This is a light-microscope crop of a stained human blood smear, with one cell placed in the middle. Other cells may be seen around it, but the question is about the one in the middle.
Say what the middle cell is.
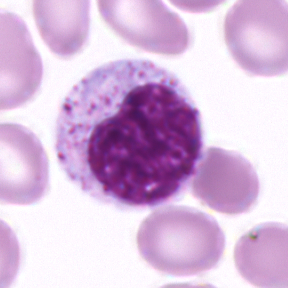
metamyelocyte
